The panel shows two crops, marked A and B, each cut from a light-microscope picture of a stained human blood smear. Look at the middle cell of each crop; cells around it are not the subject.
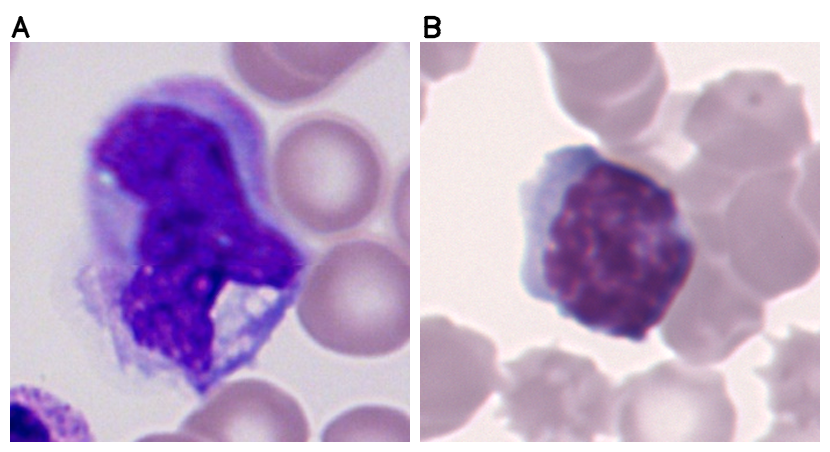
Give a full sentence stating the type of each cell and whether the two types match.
No, sorry, crop A shows a monocyte and crop B shows a lymphocyte.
